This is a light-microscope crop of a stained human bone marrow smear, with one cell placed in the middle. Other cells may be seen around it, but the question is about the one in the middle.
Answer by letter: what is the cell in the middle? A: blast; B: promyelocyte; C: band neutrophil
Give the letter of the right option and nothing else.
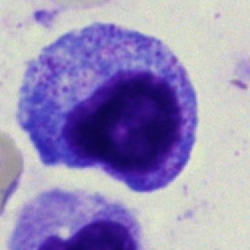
B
